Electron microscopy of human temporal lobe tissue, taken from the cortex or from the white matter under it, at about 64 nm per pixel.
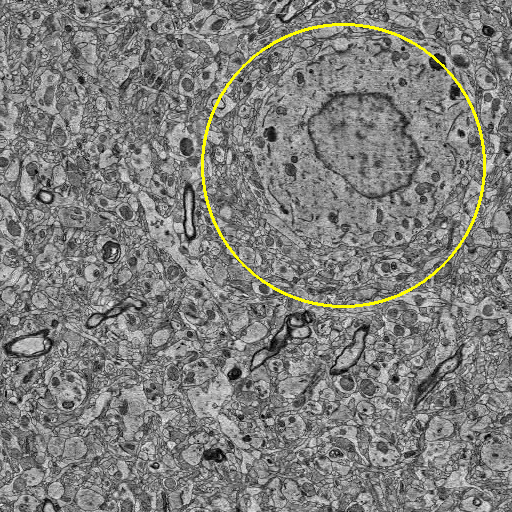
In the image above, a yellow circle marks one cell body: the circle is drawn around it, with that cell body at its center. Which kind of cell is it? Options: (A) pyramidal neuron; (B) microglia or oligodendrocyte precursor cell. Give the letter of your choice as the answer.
A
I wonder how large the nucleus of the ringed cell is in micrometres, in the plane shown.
About 8 micrometres by about 6 micrometres in this plane.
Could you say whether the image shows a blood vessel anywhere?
No.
